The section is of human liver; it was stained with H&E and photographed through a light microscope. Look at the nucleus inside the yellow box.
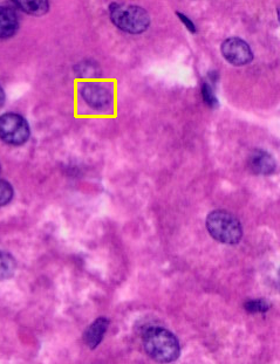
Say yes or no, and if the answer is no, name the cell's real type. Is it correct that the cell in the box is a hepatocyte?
Yes.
